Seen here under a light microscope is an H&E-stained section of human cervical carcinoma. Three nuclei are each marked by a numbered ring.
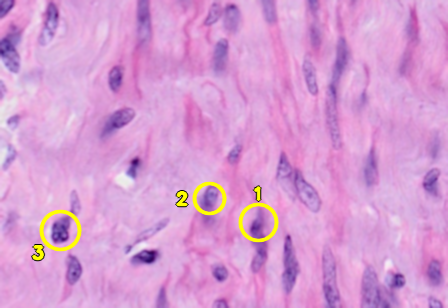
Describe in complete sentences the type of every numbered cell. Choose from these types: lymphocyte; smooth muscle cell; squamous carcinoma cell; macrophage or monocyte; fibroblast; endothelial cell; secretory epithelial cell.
Cell 1 is a smooth muscle cell, cell 2 is a smooth muscle cell and cell 3 is a lymphocyte.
